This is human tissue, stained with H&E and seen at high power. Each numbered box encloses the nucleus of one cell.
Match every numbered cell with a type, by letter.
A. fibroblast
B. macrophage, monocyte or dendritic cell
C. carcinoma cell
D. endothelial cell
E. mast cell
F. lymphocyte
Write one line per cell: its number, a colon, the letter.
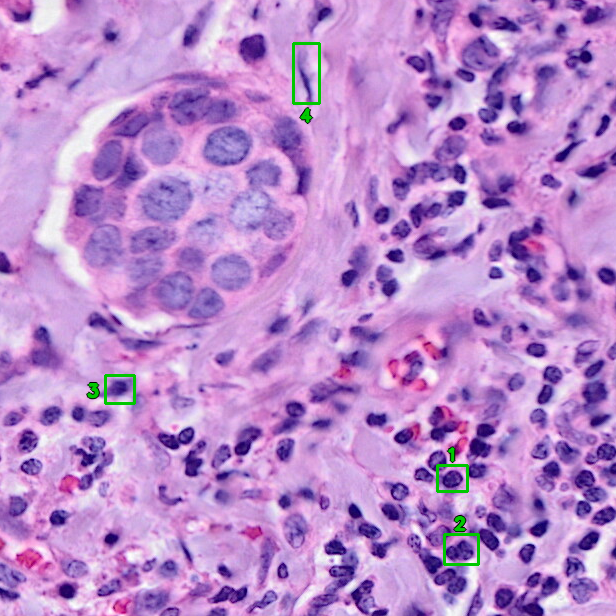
1: F
2: F
3: F
4: A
